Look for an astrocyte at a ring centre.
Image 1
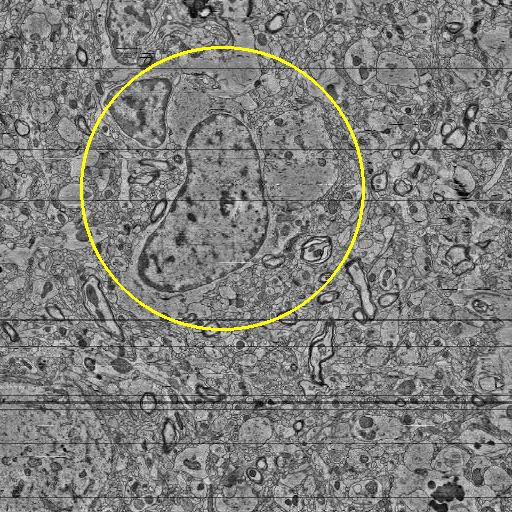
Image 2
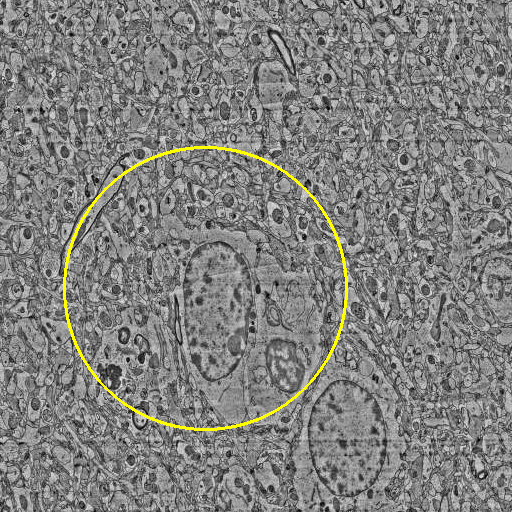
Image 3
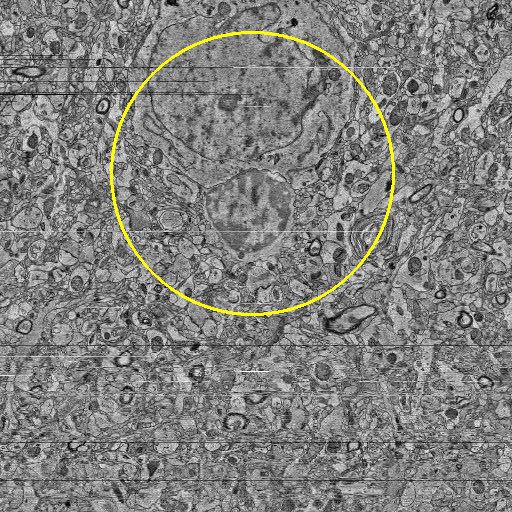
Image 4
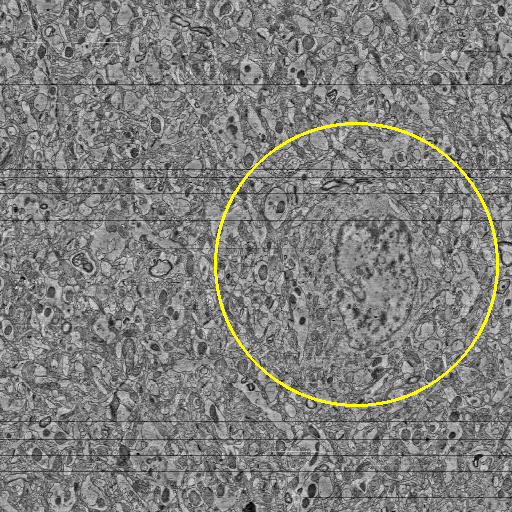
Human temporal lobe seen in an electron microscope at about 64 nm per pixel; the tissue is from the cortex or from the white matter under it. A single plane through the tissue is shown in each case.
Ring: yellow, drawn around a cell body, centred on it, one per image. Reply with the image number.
2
